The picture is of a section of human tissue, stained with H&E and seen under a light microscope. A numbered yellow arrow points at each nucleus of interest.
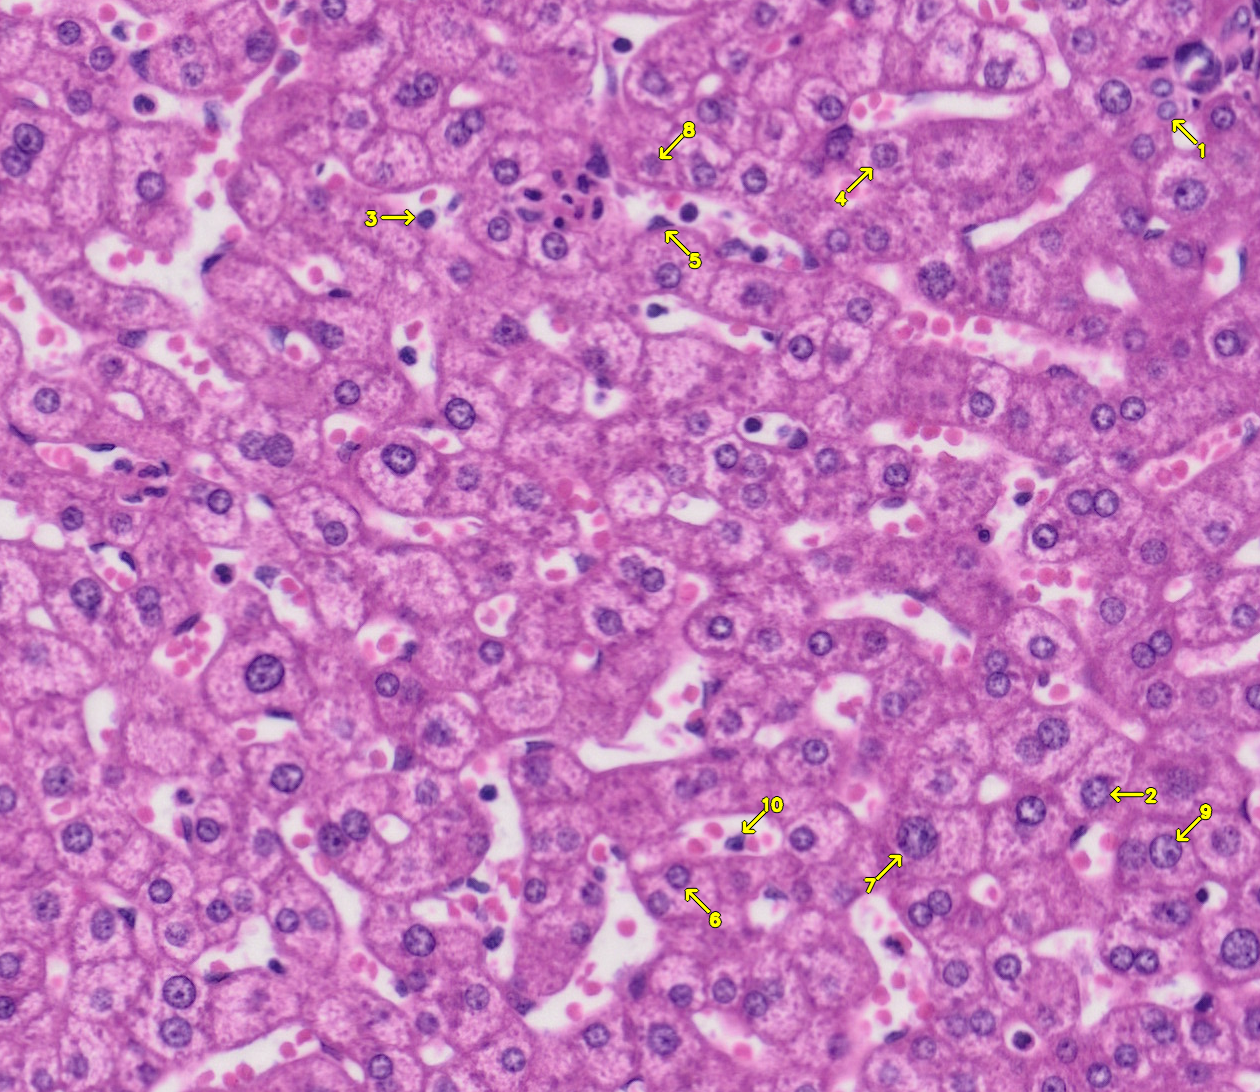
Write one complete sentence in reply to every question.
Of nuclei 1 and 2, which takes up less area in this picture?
The smaller nucleus is 1, and 2 covers roughly 2.5 times its area.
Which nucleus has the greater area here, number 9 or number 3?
Nucleus 9 covers more area, about 2.5 times as much as nucleus 3.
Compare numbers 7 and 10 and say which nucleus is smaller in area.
Nucleus 10 covers less area, with nucleus 7 about 4 times as large.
